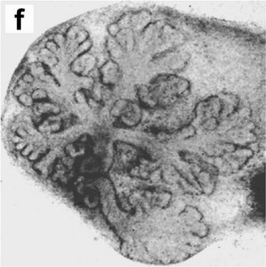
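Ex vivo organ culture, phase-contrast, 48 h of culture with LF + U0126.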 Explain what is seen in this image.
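Darkly outlined epithelial branches radiate from a dense central stalk region toward the margin of the explant. The ends of the branches are elongated and folded into irregular lobed clefts rather than forming many separate small round buds. Broad pale areas of surrounding mesenchyme lie between the branches and around the edge. Individual cells are not resolved; the image shows the architecture of branches and buds within the explant.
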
